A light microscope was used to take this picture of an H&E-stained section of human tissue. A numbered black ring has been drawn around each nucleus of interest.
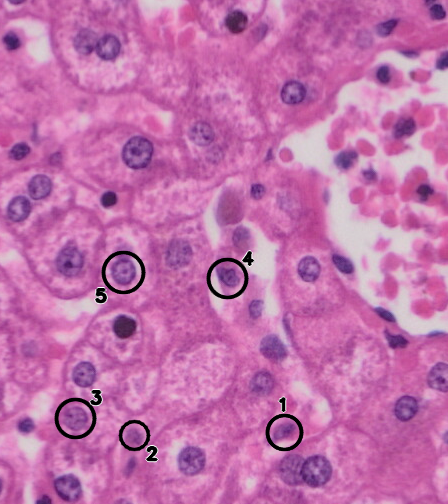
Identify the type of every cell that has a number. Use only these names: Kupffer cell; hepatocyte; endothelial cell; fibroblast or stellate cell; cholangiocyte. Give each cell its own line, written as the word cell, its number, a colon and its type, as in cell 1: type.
cell 1: Kupffer cell
cell 2: Kupffer cell
cell 3: hepatocyte
cell 4: Kupffer cell
cell 5: hepatocyte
